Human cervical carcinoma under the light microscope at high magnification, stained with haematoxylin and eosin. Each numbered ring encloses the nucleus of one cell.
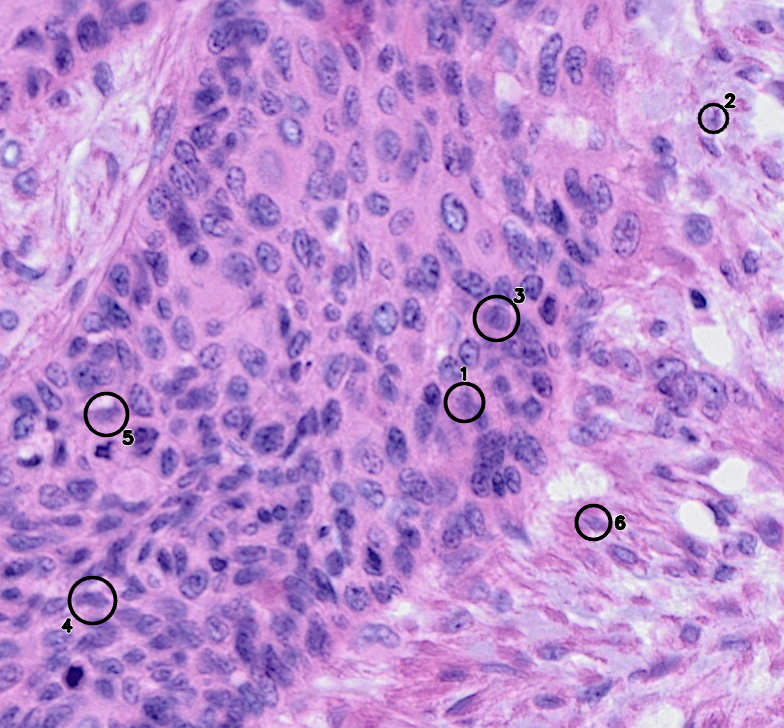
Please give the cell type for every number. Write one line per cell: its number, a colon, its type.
1: squamous carcinoma cell
2: fibroblast
3: squamous carcinoma cell
4: squamous carcinoma cell
5: squamous carcinoma cell
6: fibroblast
